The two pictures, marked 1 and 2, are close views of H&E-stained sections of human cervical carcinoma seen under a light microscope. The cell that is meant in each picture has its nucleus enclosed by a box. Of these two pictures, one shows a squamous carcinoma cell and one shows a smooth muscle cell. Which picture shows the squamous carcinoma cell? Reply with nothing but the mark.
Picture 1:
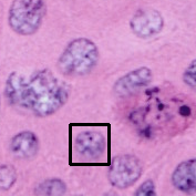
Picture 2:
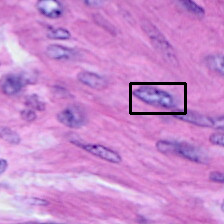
1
